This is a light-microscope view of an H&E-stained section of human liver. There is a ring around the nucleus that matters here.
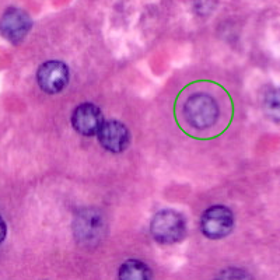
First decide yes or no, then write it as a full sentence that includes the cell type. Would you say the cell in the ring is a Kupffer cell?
No, as a cell type, the cell in the ring is a hepatocyte rather than a Kupffer cell.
